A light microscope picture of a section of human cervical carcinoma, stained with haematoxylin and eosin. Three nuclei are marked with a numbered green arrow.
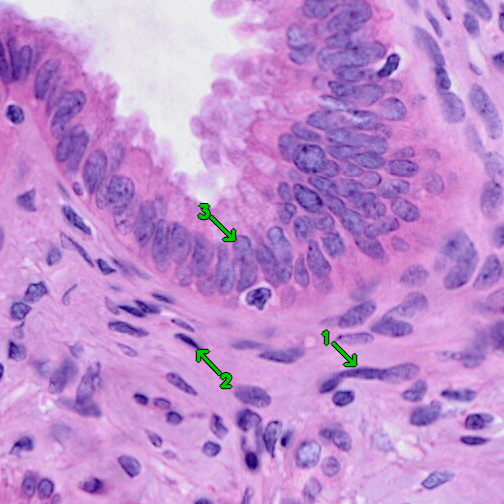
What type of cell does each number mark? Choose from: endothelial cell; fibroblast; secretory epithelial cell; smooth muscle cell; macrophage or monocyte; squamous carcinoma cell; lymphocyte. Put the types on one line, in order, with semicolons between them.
fibroblast; fibroblast; secretory epithelial cell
